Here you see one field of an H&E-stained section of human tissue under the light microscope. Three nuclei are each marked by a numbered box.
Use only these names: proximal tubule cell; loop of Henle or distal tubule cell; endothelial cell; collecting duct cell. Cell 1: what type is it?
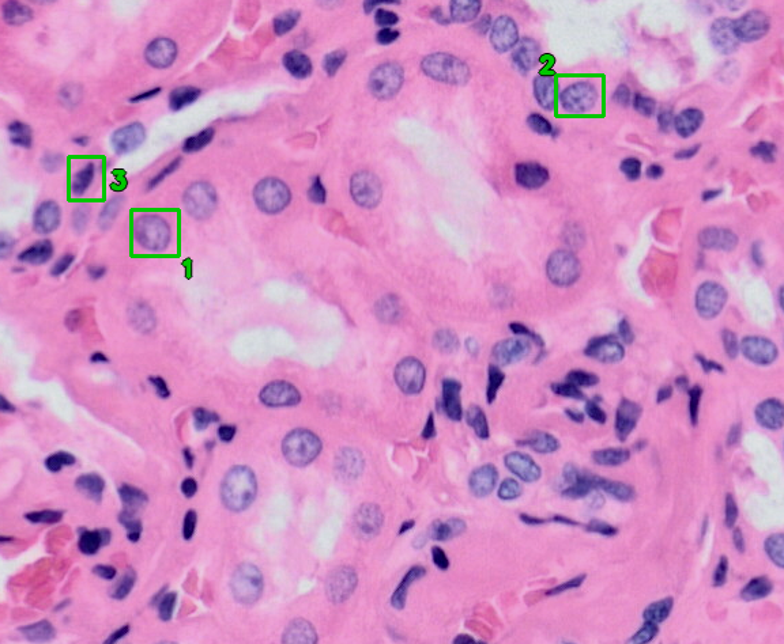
proximal tubule cell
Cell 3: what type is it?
collecting duct cell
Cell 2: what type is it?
collecting duct cell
